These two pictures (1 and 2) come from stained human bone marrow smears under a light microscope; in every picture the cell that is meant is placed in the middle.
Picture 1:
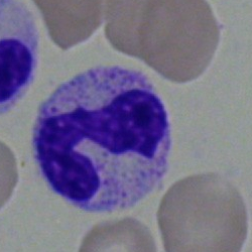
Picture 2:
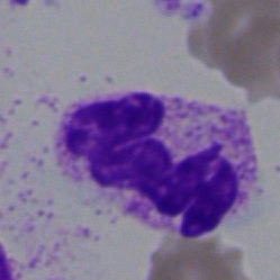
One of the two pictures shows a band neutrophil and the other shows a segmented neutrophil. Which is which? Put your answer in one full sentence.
Picture 2 shows a segmented neutrophil, while picture 1 shows a band neutrophil.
